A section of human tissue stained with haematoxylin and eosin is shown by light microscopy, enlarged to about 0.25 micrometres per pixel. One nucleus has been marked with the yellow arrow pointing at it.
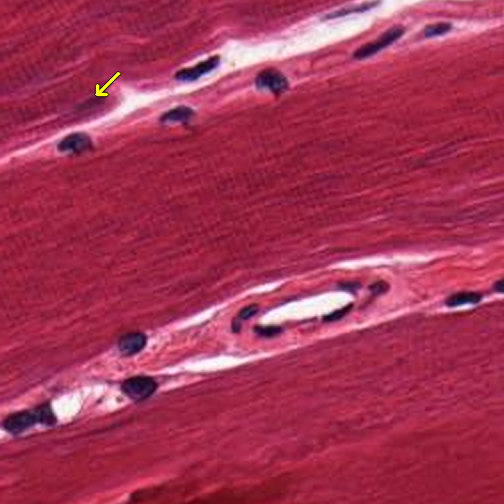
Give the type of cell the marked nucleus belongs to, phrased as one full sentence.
The marked nucleus, in this picture, belongs to a skeletal muscle fibre.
